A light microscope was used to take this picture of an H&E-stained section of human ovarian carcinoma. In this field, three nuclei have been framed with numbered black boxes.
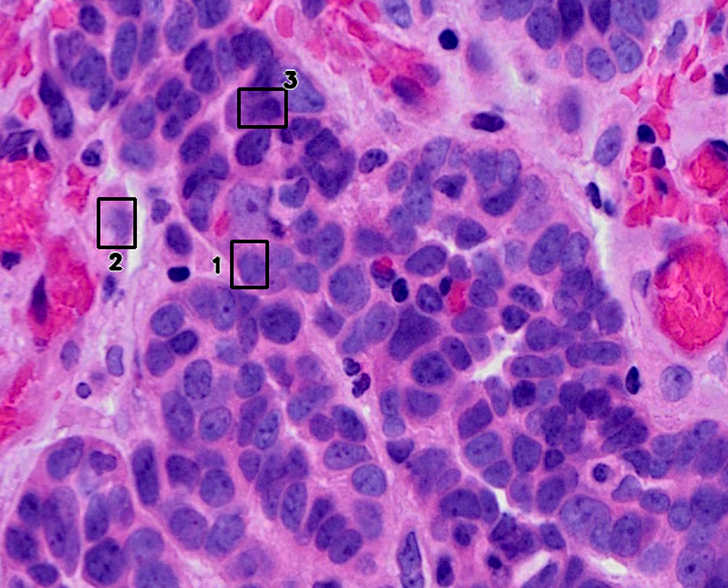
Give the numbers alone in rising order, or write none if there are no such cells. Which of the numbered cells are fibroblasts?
2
